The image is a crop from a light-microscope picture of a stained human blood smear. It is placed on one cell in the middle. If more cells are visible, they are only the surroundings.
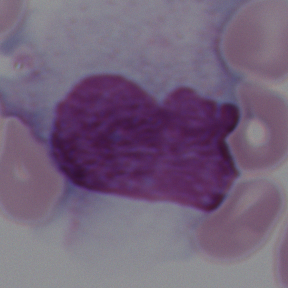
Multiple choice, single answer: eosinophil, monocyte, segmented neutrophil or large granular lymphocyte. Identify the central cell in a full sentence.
The crop's centre is taken up by a monocyte.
